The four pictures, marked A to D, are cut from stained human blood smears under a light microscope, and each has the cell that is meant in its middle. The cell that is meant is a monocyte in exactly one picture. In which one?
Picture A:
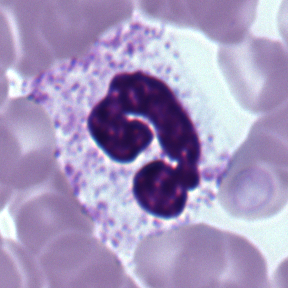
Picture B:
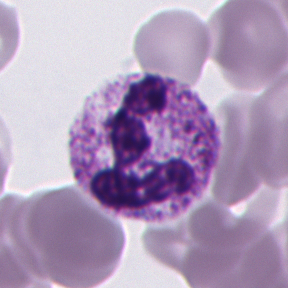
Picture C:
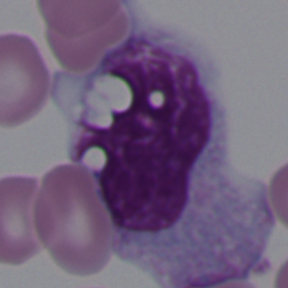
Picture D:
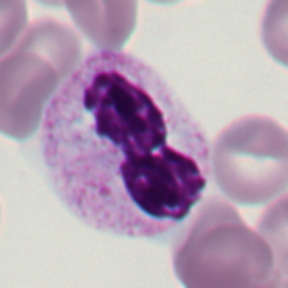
C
